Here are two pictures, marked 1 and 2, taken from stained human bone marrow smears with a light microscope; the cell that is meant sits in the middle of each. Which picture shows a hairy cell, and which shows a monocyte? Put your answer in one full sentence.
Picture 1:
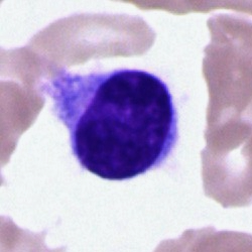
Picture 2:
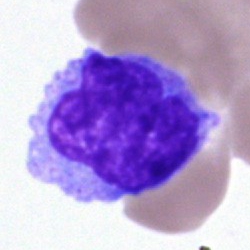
Picture 1 shows a hairy cell and picture 2 shows a monocyte.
